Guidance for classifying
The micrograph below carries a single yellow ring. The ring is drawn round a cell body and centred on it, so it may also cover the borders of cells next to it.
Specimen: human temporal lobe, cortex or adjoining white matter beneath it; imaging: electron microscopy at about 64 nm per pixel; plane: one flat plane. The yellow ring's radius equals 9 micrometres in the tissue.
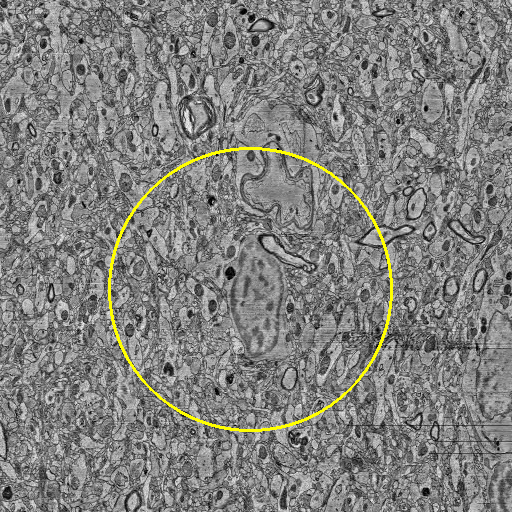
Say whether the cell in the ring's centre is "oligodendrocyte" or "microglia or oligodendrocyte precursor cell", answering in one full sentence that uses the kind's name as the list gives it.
Within the yellow ring, an oligodendrocyte is the cell whose body sits at the centre.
